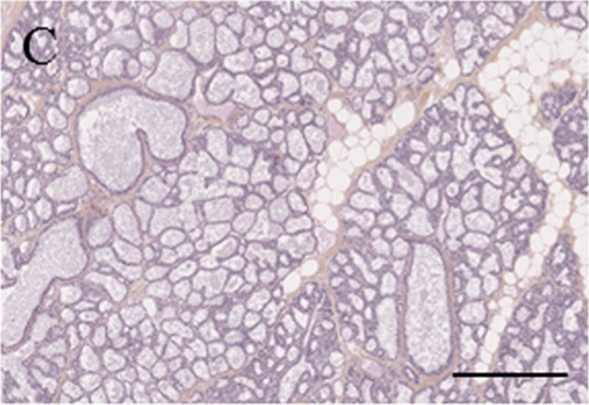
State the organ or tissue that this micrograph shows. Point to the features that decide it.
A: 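Lobules are packed with many small rounded alveoli lined by a thin epithelium. Alveolar lumens are filled with pale secretion. Larger ducts with pale content run between the alveoli. Bands of empty white fat cells lie between lobules.
Answer: mammary gland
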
